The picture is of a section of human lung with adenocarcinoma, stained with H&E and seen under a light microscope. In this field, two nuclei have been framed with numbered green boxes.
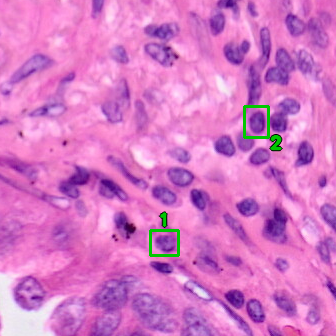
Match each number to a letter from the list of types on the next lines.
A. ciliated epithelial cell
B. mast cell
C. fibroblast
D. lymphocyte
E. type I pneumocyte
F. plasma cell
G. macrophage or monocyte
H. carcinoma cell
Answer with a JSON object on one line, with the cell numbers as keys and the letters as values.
{"1": "F", "2": "D"}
